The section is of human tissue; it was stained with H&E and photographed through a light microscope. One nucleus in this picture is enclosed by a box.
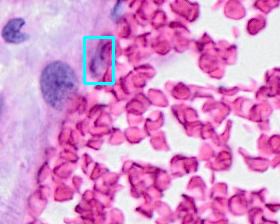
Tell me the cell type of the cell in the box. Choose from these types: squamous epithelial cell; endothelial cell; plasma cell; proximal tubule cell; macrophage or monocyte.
endothelial cell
